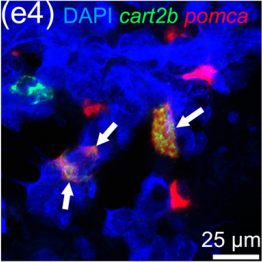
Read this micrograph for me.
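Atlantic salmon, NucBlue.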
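Hypothalamic tissue with a bright blue background of packed nuclei and a few scattered labelled neurons. Nearby lie cells with red label only, and a cell at the upper left with green label only. The doubly labelled cells are neurons in which the two labels coincide.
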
